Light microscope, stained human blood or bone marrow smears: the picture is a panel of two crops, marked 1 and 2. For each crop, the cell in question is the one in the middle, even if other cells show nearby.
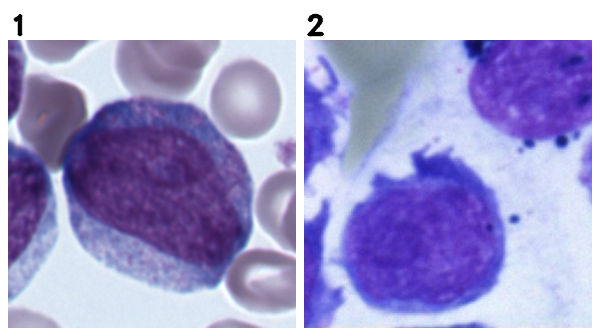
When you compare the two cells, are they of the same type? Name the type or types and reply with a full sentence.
No, crop 1 shows a promyelocyte, with a blast shown in crop 2.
